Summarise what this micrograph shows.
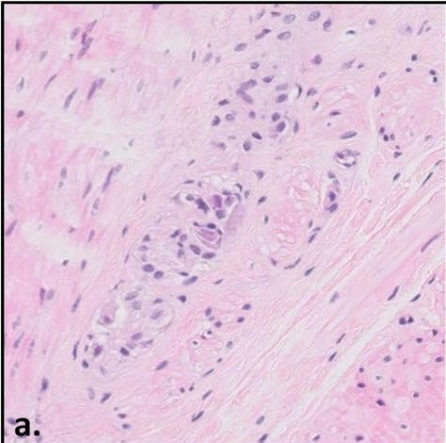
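This pale pink-stained section shows small clusters of ganglion cells lying among spindle-shaped cells. The ganglion cells are larger than their neighbours, with more abundant pale purple cytoplasm and round nuclei. The surrounding cells have elongated, wavy nuclei and are set in pink fibrillar tissue.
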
